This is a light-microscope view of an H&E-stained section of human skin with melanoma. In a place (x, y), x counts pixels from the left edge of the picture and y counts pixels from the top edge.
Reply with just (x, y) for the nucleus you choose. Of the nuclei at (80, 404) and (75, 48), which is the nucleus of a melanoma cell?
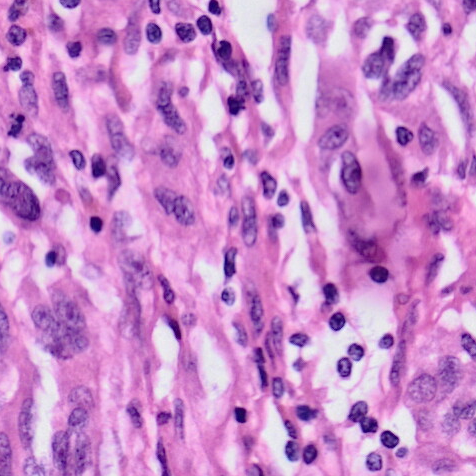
(80, 404)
